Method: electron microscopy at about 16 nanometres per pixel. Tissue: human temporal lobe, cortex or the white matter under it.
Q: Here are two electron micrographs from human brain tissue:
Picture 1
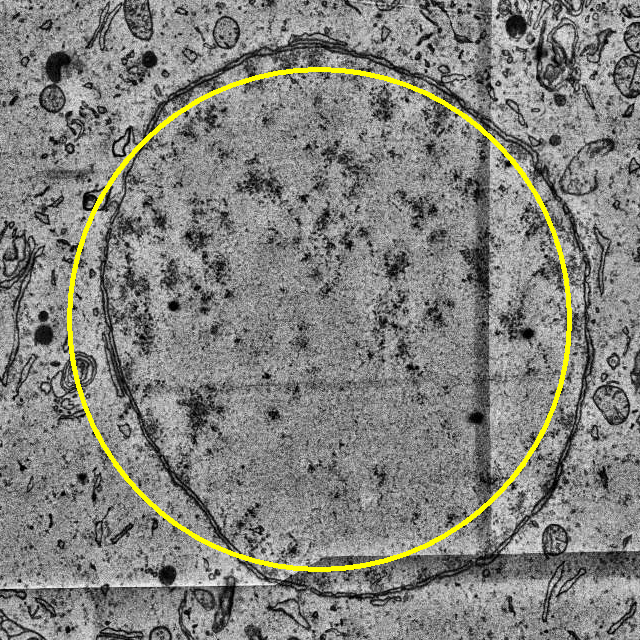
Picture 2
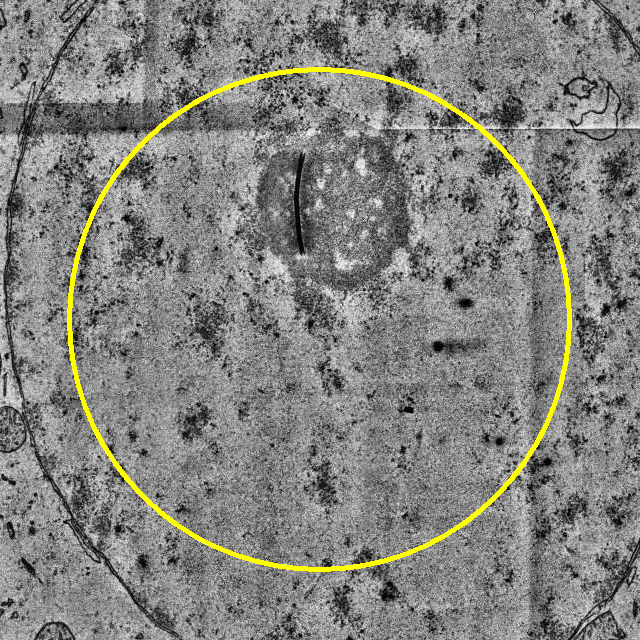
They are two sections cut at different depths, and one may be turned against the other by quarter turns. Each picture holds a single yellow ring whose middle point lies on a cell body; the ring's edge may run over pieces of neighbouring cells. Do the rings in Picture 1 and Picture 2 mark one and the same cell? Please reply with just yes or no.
yes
